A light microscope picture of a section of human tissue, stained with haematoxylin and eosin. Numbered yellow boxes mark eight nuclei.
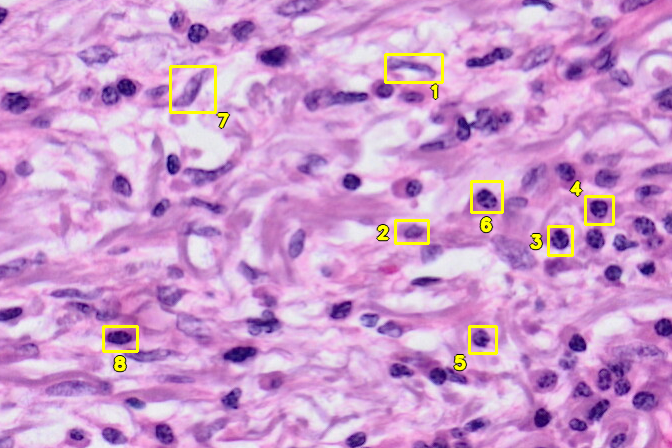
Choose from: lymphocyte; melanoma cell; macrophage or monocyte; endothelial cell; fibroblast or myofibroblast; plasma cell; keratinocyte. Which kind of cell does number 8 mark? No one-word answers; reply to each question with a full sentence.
The cell whose nucleus carries the number 8 is a plasma cell.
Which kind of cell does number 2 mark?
The mark numbered 2 indicates the nucleus of a macrophage or monocyte.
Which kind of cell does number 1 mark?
The one numbered 1 among the marked cells is a fibroblast or myofibroblast.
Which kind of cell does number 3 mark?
Among the marked nuclei, number 3 belongs to a plasma cell.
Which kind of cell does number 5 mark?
Among the marked cells, number 5 is a plasma cell.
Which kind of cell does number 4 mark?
Corresponding to a plasma cell is the cell labelled 4.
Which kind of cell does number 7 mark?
Among the marked nuclei, number 7 belongs to a fibroblast or myofibroblast.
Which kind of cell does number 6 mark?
The cell numbered 6 has been identified as a plasma cell.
